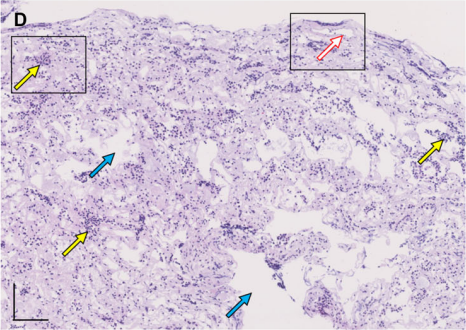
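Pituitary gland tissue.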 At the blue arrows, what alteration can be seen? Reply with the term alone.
mechanical or freezing artifacts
